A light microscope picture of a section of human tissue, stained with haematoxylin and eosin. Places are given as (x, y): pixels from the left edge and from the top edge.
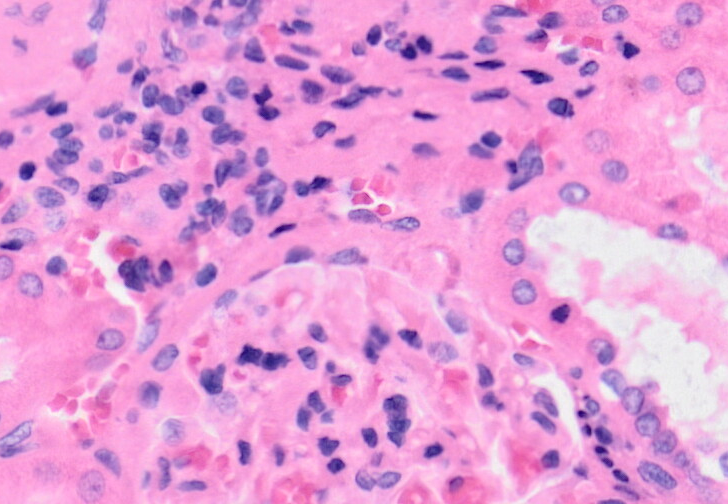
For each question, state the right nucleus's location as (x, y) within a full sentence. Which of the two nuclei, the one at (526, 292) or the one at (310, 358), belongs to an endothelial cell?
The nucleus at (310, 358) is part of an endothelial cell, while the other is not.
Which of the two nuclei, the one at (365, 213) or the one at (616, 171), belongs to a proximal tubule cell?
The one belonging to a proximal tubule cell is the nucleus at (616, 171), not the other.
